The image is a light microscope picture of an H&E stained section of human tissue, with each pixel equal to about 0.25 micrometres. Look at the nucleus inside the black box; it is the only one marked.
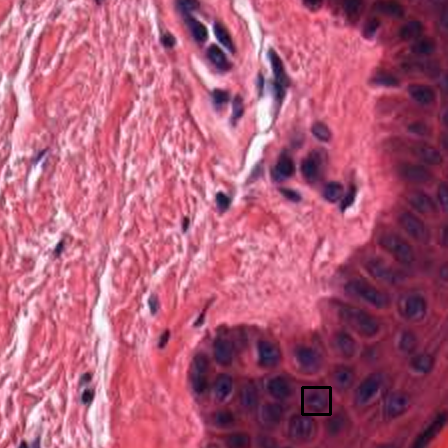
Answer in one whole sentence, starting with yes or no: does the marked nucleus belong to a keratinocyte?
Yes, in this section the marked nucleus belongs to a keratinocyte.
